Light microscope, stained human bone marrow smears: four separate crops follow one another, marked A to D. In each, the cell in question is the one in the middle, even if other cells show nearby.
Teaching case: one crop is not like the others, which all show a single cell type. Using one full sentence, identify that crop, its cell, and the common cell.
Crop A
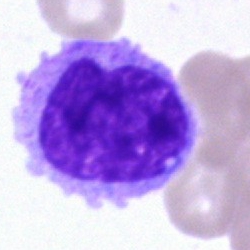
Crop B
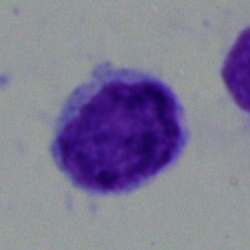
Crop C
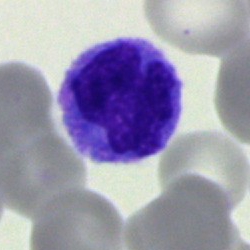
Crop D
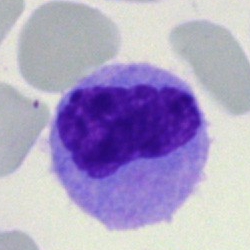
Only one crop differs, namely crop B, which is a hairy cell; the others show monocytes.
